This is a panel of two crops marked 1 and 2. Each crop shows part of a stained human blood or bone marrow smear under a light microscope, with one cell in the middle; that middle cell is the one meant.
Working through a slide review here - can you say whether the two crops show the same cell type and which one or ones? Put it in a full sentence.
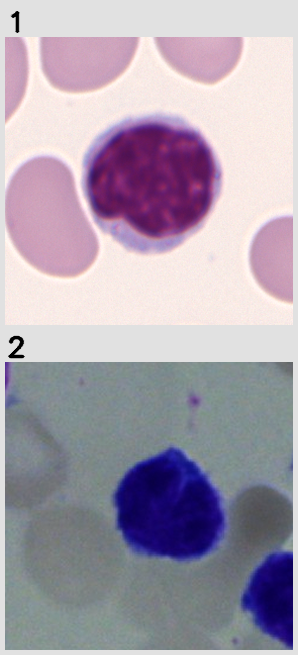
Yes, in both crops the centred cells are lymphocytes.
